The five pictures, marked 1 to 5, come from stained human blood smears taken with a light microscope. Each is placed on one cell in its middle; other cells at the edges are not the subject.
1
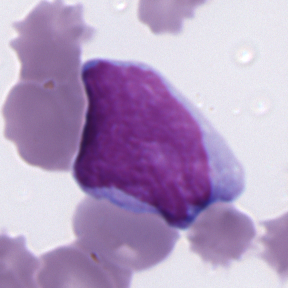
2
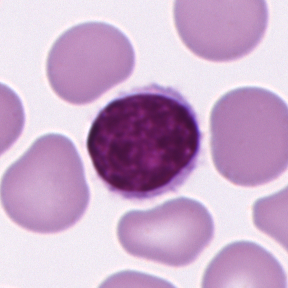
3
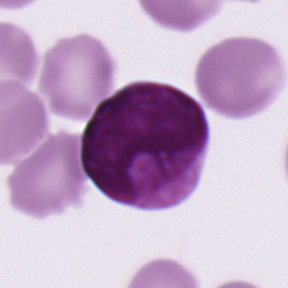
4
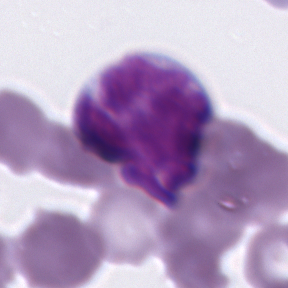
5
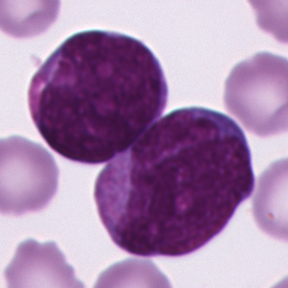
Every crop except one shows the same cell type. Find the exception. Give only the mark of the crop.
2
